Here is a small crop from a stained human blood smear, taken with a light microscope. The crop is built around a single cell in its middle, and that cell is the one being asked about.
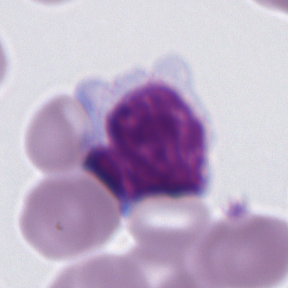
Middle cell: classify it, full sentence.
On this slide crop, the central cell is a large granular lymphocyte.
